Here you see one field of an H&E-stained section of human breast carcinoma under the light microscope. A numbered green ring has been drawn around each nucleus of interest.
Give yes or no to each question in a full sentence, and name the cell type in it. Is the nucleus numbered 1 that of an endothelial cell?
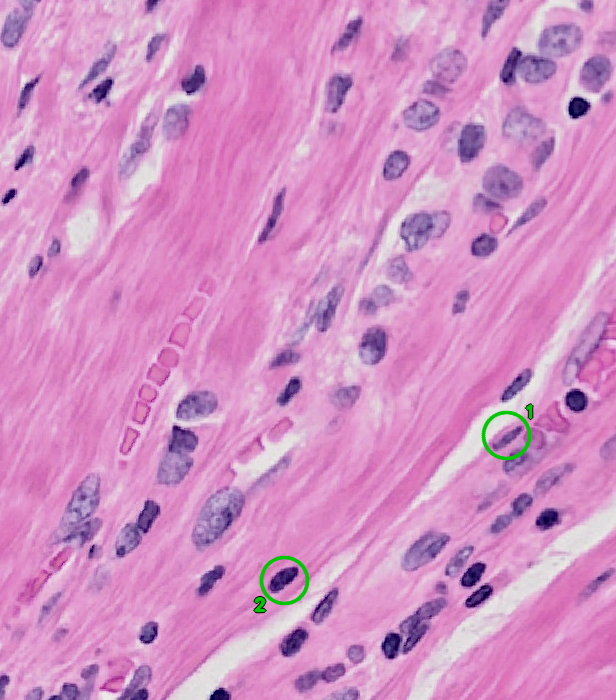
Yes, the cell that number 1 points to is an endothelial cell.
